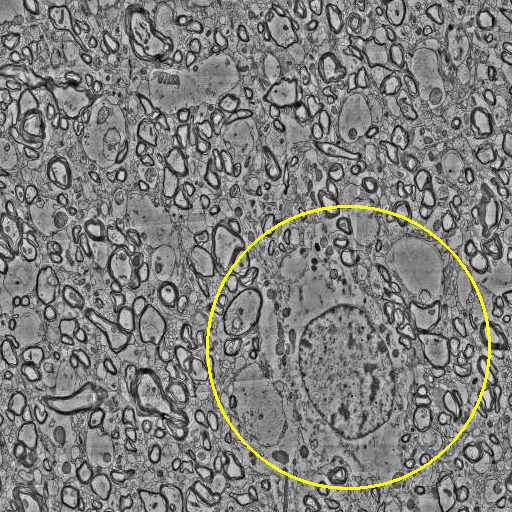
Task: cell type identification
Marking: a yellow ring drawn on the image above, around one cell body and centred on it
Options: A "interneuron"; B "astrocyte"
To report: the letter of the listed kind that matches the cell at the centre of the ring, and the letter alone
B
